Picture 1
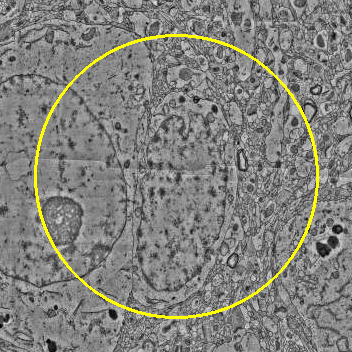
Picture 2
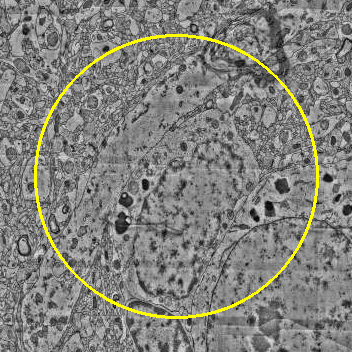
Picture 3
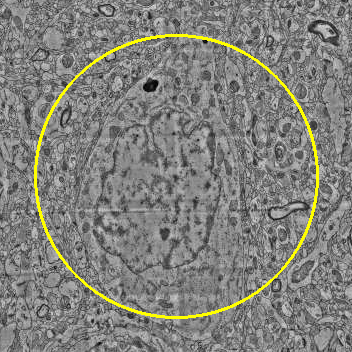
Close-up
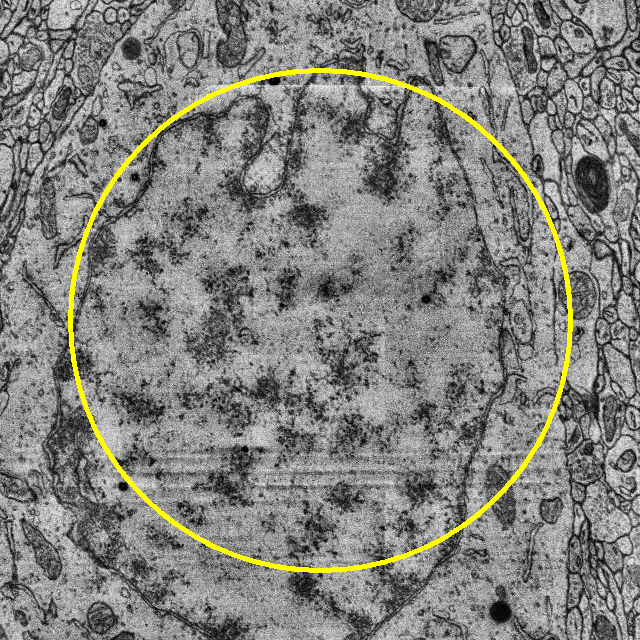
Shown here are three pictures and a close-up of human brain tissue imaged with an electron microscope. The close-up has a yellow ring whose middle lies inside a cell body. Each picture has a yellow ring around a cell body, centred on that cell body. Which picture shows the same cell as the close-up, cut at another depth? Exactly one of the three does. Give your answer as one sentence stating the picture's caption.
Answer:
The enlargement corresponds to the cell circled in Picture 3.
